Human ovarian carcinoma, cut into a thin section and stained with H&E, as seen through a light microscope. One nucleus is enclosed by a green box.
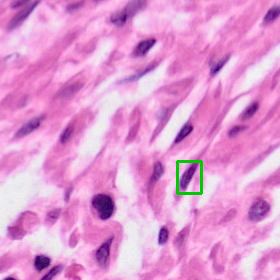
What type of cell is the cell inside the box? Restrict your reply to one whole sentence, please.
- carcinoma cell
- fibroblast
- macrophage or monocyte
The cell type of the cell inside the box is that of a fibroblast.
